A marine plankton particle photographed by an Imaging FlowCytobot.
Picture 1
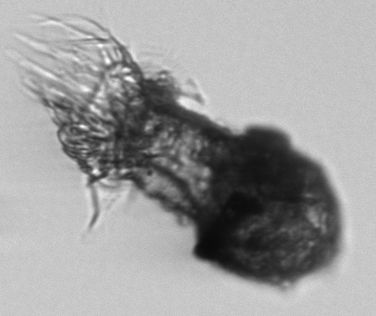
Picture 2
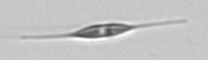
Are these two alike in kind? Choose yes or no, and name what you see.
No. First a tintinnid, second Cylindrotheca.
